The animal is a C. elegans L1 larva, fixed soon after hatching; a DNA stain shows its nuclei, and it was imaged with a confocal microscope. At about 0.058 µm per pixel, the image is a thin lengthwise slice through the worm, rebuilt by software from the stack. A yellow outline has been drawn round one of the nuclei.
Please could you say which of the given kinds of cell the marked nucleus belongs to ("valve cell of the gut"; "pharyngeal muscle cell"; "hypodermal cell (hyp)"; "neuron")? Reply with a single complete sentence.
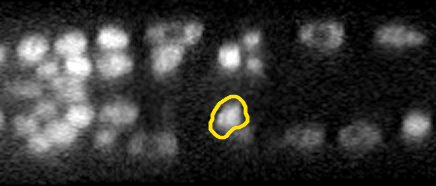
The nucleus comes from a valve cell of the gut.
